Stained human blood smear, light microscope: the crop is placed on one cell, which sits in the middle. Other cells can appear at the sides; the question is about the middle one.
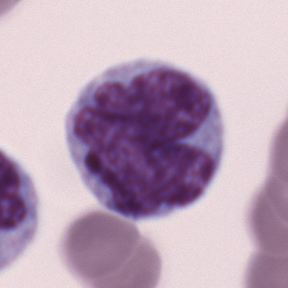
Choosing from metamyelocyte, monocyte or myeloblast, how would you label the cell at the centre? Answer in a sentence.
The cell in the middle of this crop is a monocyte.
